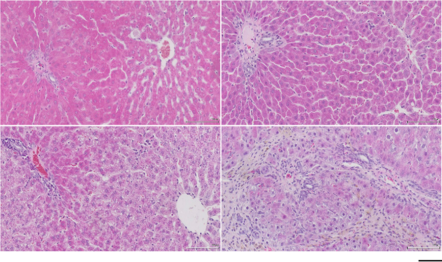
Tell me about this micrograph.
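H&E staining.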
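Between the plates lie narrow pale spaces, the sinusoids. In some fields there are small portal areas, where vessels sit in a little connective tissue with clusters of small, dark, round nuclei of inflammatory cells. In the lower right field the regular plates are broken up, with more of these small dark nuclei and looser, paler tissue between the hepatocytes.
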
